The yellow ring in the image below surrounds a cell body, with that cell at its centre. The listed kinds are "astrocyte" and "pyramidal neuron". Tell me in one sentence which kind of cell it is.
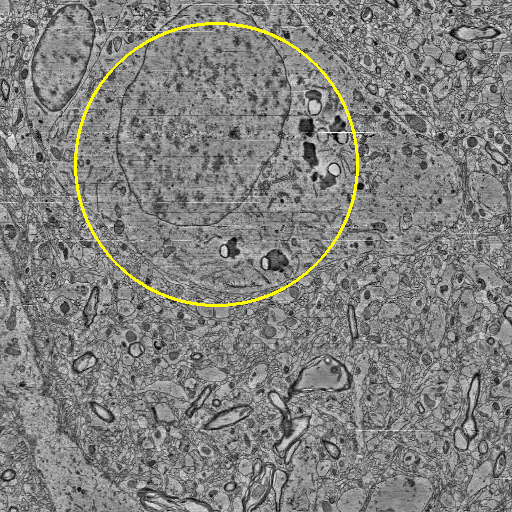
The centre of the ring holds a pyramidal neuron.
